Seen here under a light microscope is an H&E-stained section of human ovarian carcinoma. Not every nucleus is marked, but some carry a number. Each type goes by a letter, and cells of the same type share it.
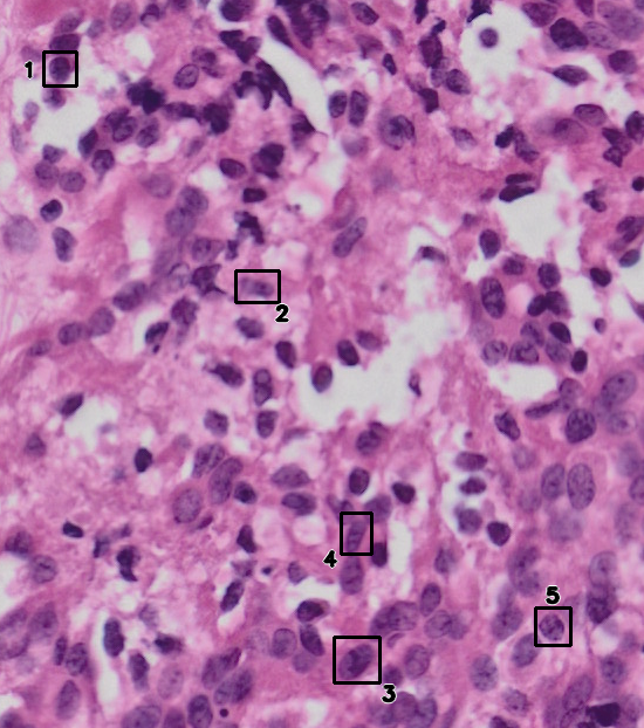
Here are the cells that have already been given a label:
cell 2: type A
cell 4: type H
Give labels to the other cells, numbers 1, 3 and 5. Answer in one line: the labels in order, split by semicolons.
type H; type H; type A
